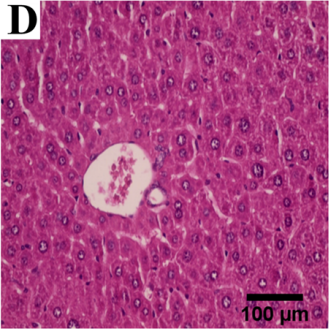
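This is liver parenchyma around a small vein containing some blood cells. The hepatocytes are polygonal with evenly pink cytoplasm and central round purple nuclei, some cells with two nuclei. They form orderly plates separated by narrow sinusoids, with no clear cytoplasmic vacuoles and no clusters of inflammatory cells.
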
